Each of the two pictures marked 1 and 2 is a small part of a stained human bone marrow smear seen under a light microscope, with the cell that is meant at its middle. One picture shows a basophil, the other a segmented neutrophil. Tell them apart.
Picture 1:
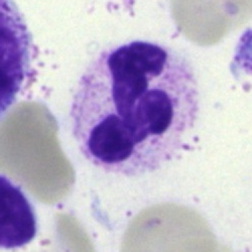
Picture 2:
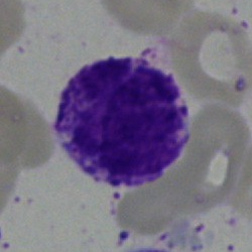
1: segmented neutrophil
2: basophil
